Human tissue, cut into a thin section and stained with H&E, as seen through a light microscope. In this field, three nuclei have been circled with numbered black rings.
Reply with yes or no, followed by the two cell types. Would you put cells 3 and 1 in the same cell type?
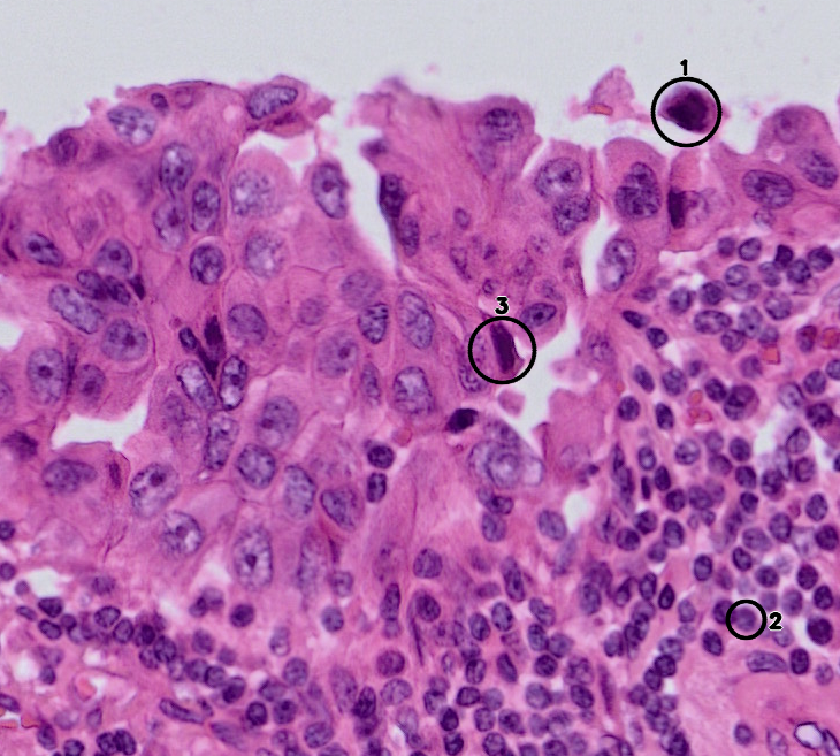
Yes, among the marked cells, numbers 3 and 1 are both carcinoma cells.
